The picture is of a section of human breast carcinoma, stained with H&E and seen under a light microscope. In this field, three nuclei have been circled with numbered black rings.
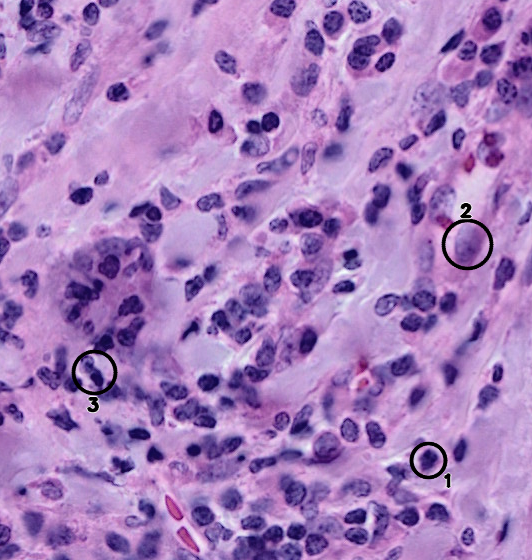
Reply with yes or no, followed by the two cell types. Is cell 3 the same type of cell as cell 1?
Yes, lymphocytes are what cells 3 and 1 both are.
